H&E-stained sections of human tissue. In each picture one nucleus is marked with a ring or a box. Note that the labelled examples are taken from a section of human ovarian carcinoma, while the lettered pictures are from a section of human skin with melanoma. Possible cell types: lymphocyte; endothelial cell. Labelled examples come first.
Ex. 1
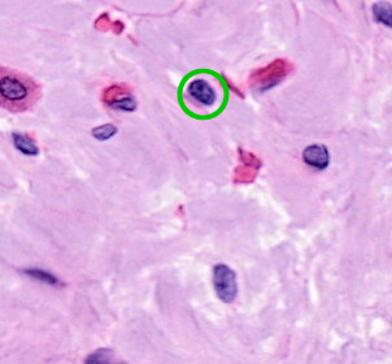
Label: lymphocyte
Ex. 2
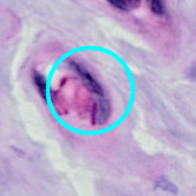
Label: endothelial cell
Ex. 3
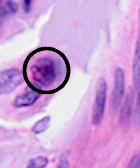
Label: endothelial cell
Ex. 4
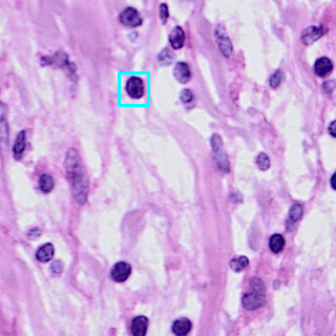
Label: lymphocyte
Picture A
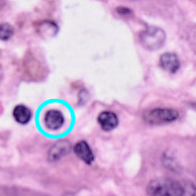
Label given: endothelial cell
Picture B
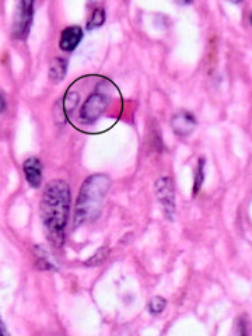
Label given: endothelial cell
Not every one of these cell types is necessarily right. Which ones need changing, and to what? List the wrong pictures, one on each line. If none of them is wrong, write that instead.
A is labelled endothelial cell; correct label: lymphocyte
